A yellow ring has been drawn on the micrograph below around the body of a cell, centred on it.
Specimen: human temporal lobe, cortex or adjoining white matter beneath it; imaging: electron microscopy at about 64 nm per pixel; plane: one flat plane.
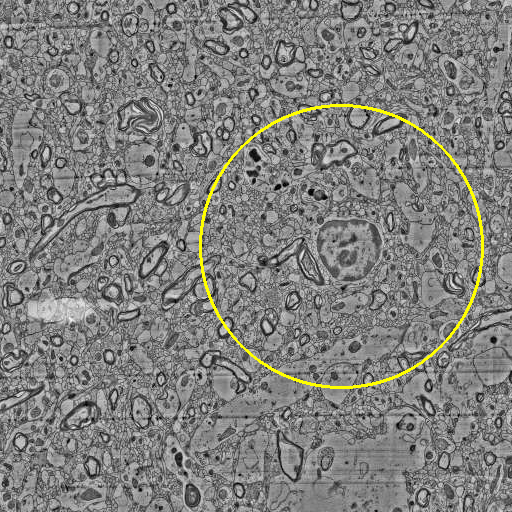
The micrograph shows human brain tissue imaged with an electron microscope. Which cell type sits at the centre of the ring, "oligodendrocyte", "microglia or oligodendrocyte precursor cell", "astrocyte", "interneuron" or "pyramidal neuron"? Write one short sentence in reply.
The cell sitting at the centre of the ring is a microglial cell or oligodendrocyte precursor cell.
